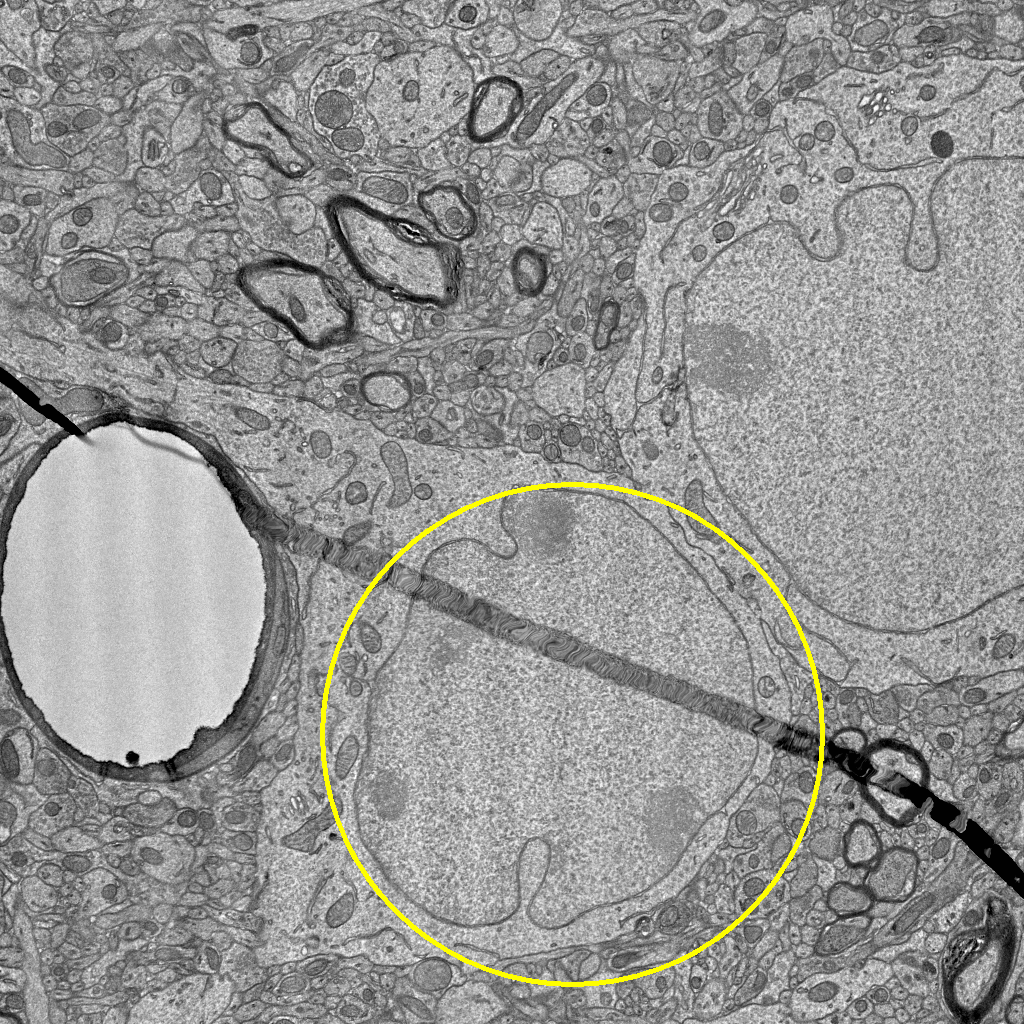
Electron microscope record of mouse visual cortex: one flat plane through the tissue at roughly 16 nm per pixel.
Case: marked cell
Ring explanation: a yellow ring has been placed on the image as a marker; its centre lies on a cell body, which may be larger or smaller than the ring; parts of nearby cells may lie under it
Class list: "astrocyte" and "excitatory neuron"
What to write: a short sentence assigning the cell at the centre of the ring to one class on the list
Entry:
The cell at the ring's centre is an excitatory neuron.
